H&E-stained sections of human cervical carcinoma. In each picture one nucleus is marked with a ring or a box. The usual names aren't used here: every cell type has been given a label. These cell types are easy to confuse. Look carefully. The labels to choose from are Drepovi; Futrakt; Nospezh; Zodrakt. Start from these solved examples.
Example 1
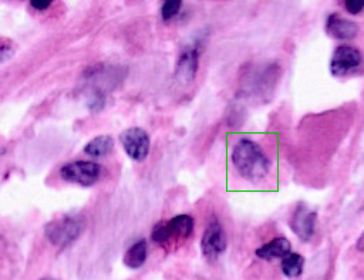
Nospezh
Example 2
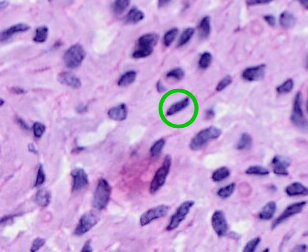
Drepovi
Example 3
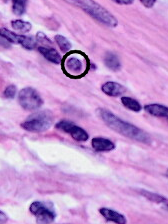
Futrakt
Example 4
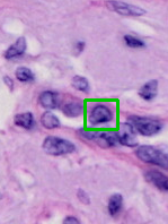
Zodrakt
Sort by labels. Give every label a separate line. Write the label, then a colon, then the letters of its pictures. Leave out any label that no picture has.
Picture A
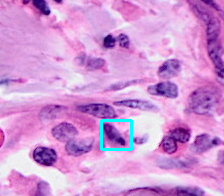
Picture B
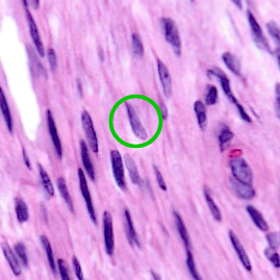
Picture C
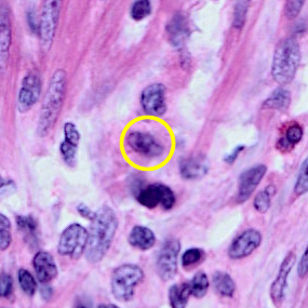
Drepovi: B
Nospezh: A, C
